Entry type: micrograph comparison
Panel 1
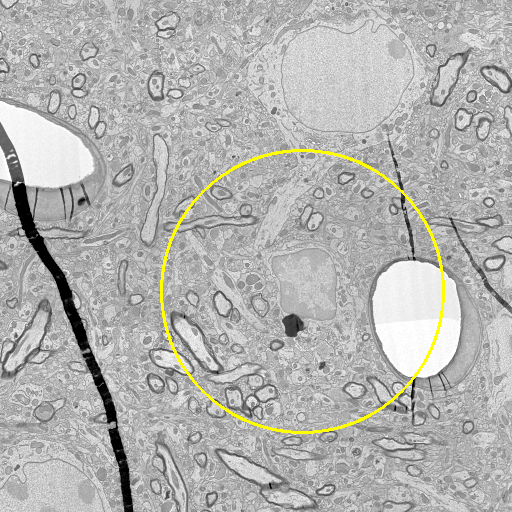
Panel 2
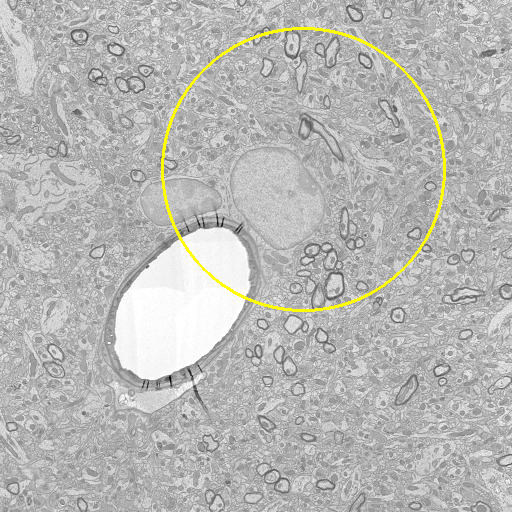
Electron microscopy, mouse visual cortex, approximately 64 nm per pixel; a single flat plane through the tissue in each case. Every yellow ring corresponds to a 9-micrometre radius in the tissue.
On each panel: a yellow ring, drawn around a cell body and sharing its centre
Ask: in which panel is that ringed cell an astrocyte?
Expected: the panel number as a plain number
2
